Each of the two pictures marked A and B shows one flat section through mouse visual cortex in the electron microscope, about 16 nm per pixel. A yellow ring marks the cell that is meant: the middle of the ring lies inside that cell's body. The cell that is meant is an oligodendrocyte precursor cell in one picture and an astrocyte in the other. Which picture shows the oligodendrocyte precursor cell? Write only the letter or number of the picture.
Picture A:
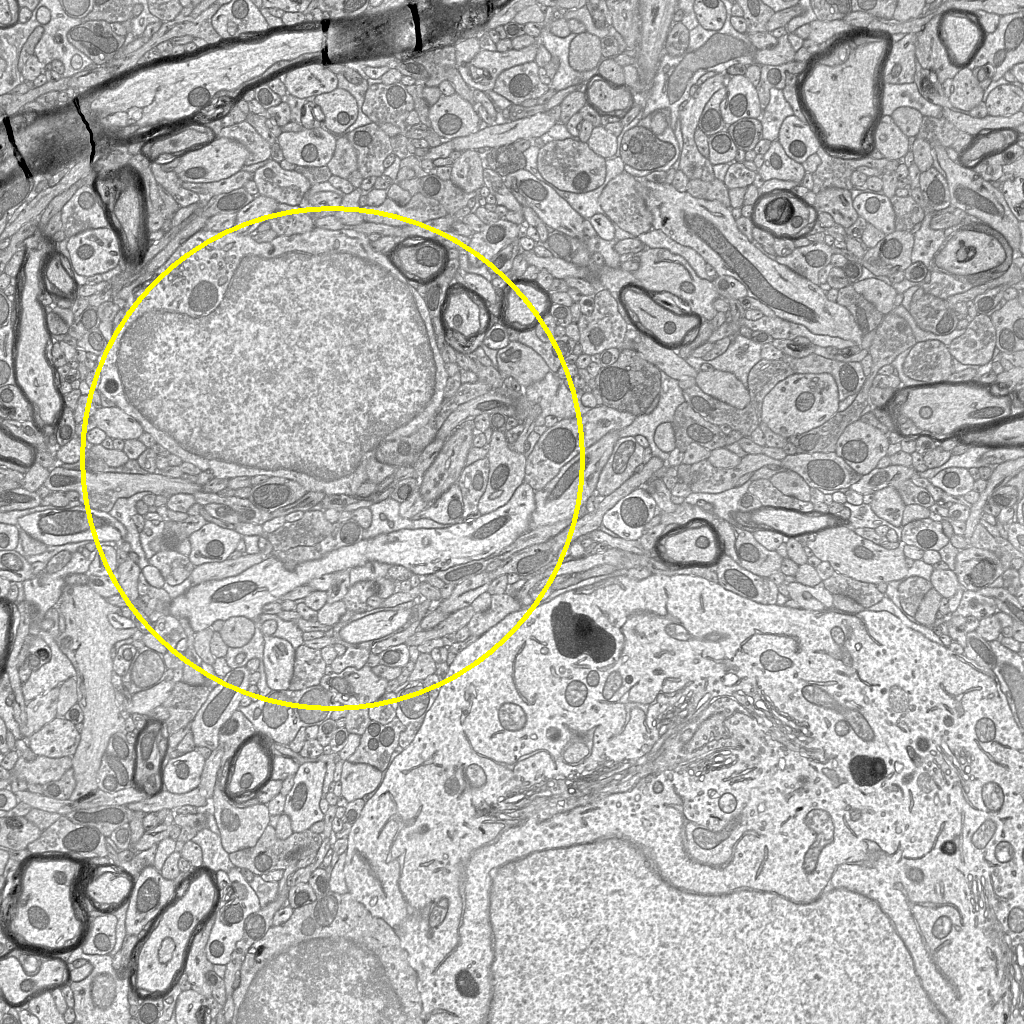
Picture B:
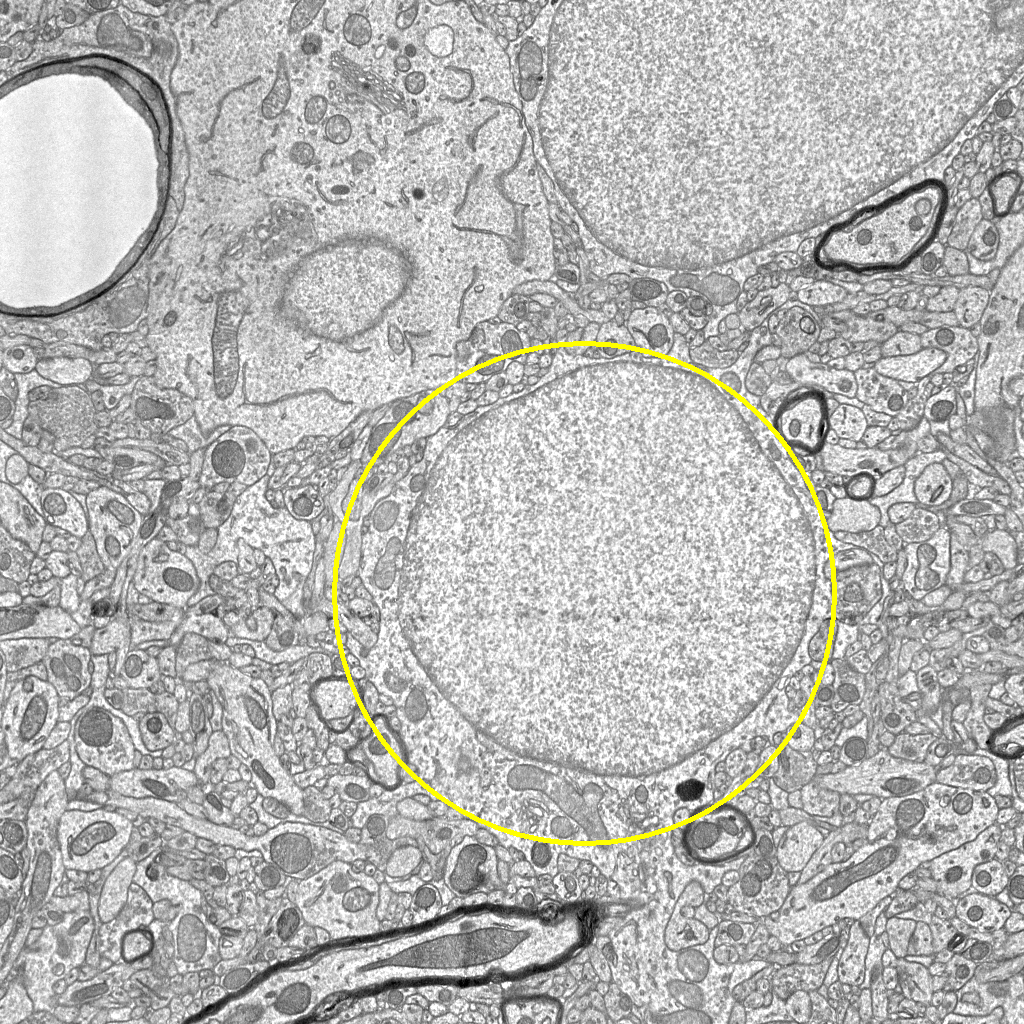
A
